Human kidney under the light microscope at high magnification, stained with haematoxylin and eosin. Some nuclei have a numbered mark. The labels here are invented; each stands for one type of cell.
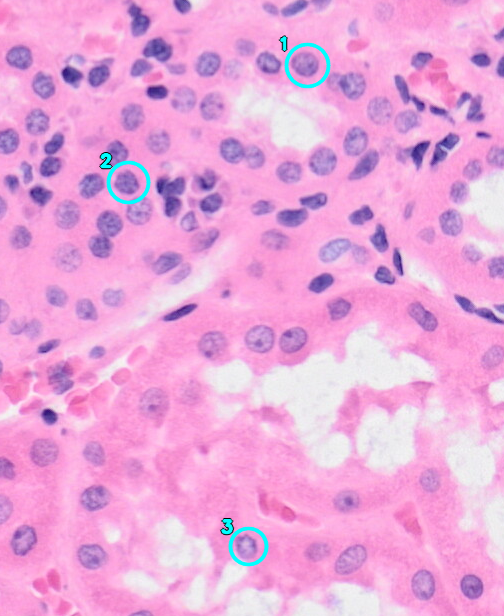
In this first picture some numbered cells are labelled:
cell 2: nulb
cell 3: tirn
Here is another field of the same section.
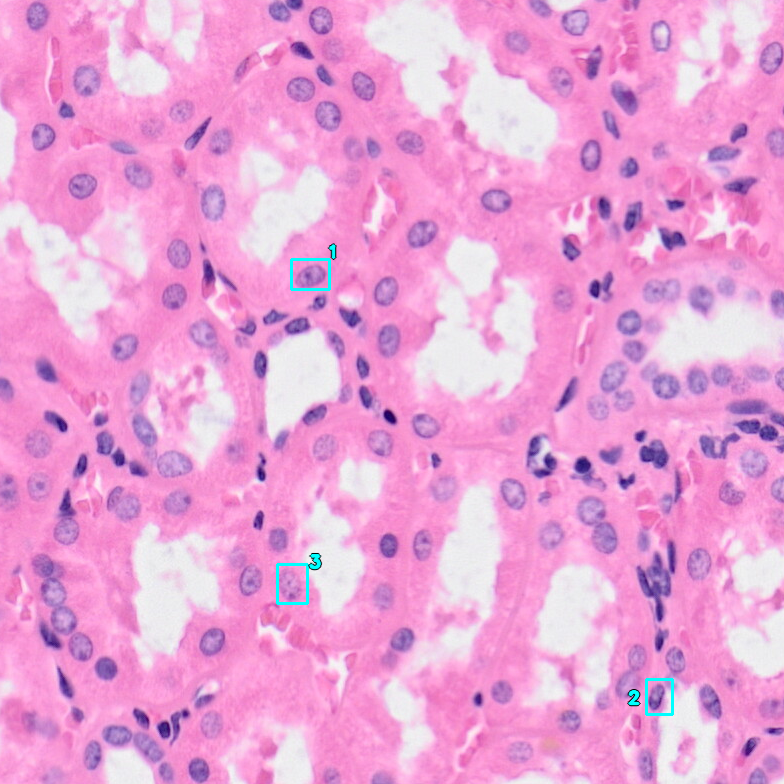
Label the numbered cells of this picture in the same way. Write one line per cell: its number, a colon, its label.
1: tirn
2: nulb
3: tirn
